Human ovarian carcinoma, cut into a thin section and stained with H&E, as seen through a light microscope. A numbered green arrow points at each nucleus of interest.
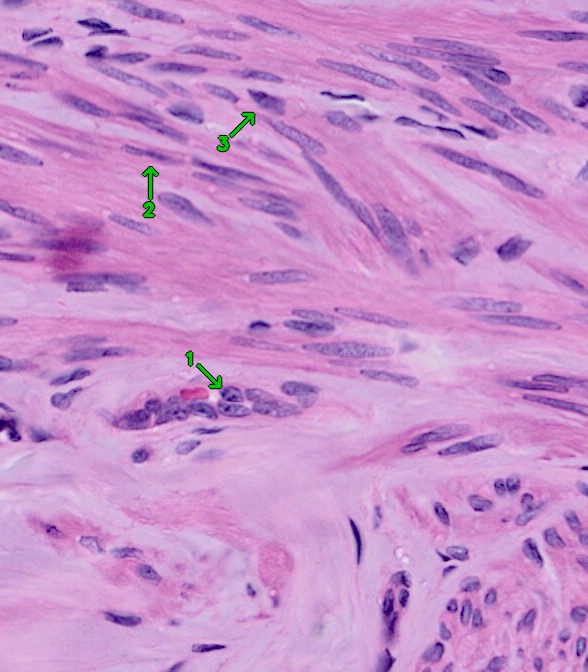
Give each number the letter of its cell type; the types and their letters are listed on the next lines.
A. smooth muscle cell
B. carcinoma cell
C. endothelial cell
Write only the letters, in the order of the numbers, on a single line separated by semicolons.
C; A; A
